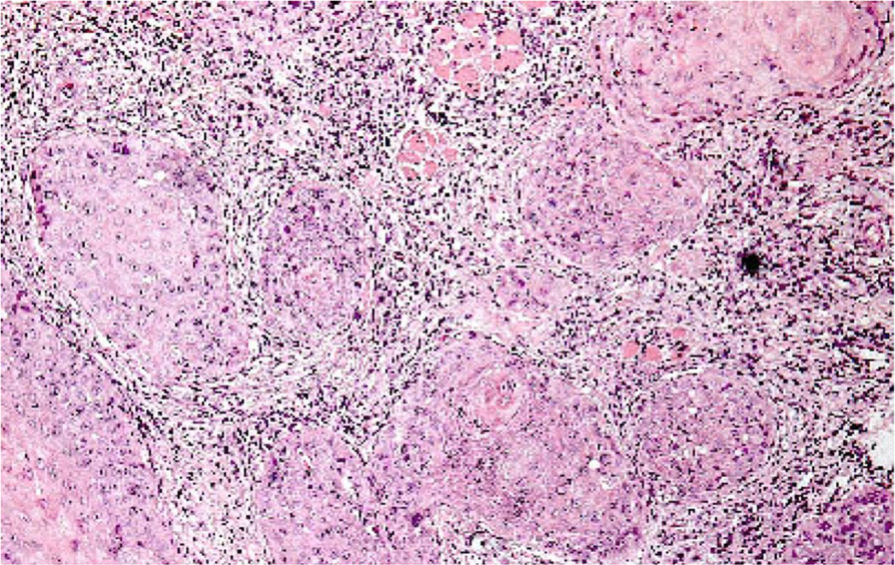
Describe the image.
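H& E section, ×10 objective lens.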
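The section shows malignant epithelial islands: numerous rounded, sharply bordered nests of large polygonal cells infiltrating a cellular stroma. The cells in the islands have abundant pale pink cytoplasm and enlarged, purple nuclei that vary noticeably in size and shape from cell to cell. Several islands contain central pink, concentrically layered whorls of keratinised material. The intervening stroma is densely packed with small, dark-staining nuclei of inflammatory cells that closely surround the edges of the islands. Small groups of rounded, bright pink fibres cut in cross-section lie in the stroma near the top of the field.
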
